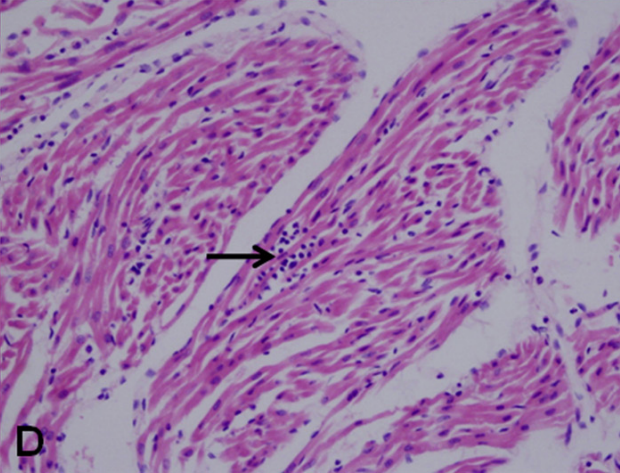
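This section of heart muscle shows cardiac muscle fibers grouped into compact bundles that run in varying directions, separated by pale clefts between bundles. Within the bundles the pink fibers lie close together with elongated nuclei. At the arrow, along the edge of one bundle, a small collection of cells with dark, round nuclei marks an infiltrate of inflammatory cells. Further small dark nuclei are scattered among the fibers, making the tissue appear more cellular than plain muscle.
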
